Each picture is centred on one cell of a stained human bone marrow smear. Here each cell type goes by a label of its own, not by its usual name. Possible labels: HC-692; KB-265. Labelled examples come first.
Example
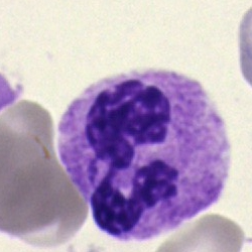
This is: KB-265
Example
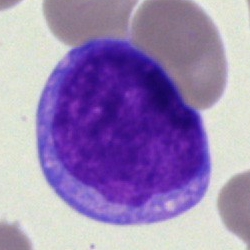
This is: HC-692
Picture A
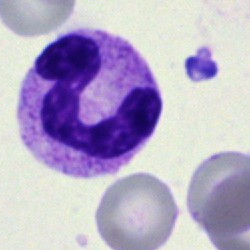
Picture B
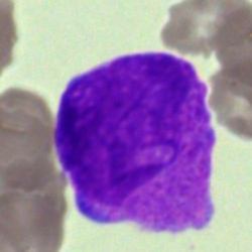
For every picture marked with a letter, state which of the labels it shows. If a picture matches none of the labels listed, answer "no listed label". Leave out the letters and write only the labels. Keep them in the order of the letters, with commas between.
KB-265, HC-692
